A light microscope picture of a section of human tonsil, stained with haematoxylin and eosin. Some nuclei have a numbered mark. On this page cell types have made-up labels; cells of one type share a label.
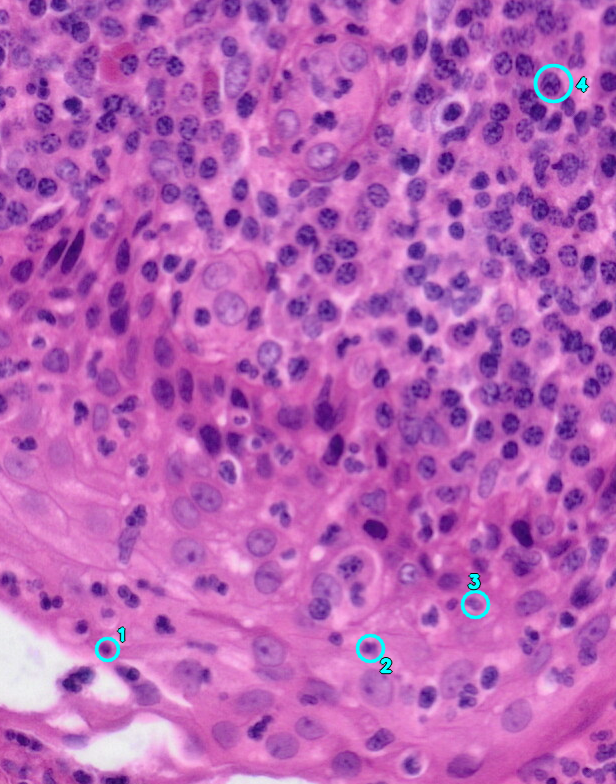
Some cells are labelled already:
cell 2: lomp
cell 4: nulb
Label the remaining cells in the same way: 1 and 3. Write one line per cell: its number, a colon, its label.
1: lomp
3: lomp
